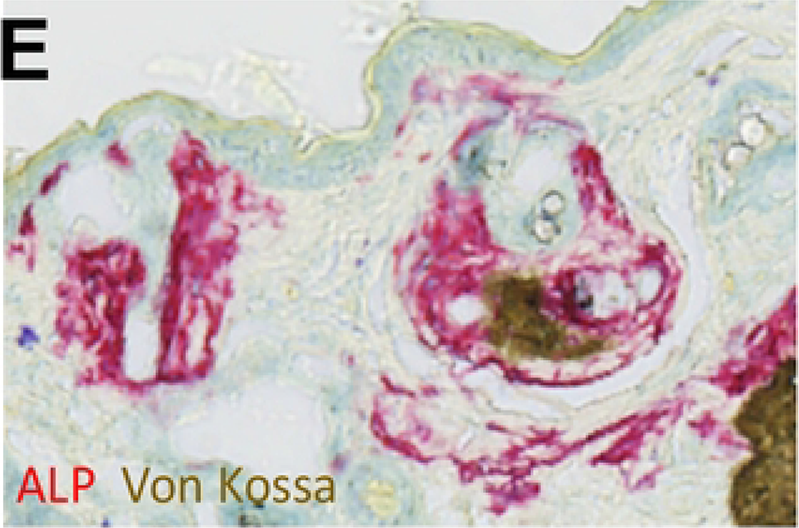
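This is dermis of skin beneath a thin epidermis, containing hair follicles surrounded by subcutaneous ossification. Red-stained cells form dense rims around rounded follicle profiles, and a solid brown mineralized mass lies within one of these rims. The surrounding dermis is pale, loosely fibrous connective tissue.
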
